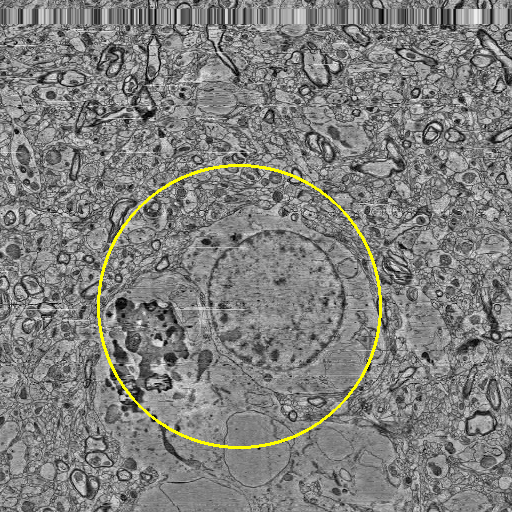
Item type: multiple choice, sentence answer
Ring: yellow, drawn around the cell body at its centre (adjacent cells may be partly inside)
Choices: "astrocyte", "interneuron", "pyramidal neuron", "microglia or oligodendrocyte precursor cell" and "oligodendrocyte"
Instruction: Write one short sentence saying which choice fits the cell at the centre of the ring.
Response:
This ring is drawn around an astrocyte.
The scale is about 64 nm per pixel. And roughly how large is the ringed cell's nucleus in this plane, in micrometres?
Approximately 9 micrometers across in this plane.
